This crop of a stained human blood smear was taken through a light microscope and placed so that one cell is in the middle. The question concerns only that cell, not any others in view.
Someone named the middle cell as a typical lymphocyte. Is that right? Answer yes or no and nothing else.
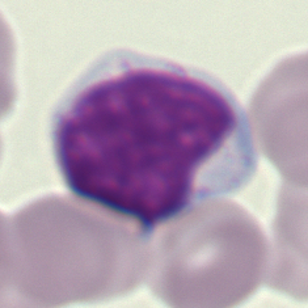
no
